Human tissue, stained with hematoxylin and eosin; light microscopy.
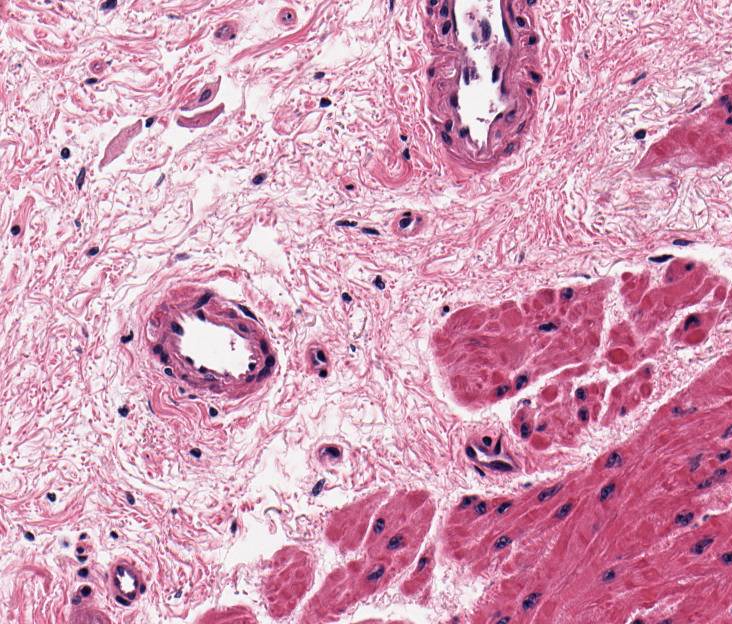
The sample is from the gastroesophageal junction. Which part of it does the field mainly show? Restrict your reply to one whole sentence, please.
In this tissue section, the part on display is loose connective tissue.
